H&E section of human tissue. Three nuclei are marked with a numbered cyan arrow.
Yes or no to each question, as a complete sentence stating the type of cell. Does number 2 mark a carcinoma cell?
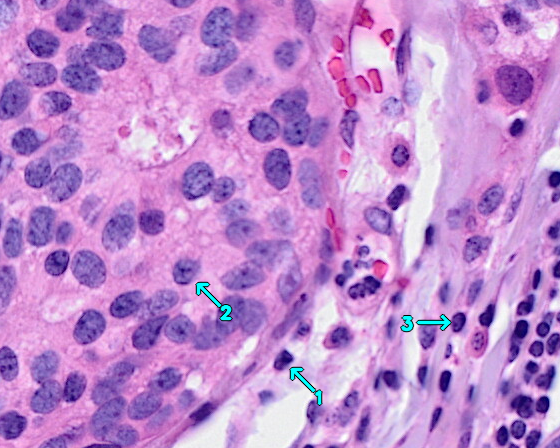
Yes, the cell identified as number 2 is a carcinoma cell.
